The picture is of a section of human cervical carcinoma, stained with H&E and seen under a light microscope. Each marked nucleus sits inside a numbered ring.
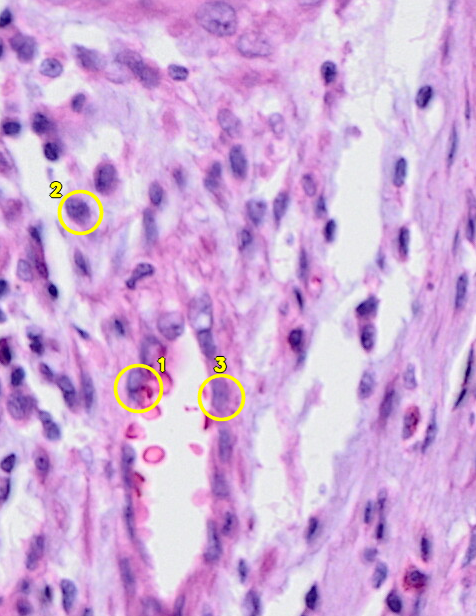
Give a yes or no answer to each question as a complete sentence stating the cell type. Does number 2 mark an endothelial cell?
No; cell 2 is a macrophage or monocyte, not an endothelial cell.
